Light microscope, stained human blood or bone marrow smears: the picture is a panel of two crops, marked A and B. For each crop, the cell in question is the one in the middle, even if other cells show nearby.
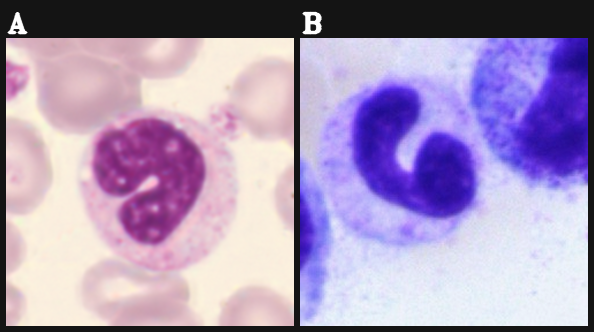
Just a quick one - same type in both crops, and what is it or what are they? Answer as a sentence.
Yes, band neutrophils are seen in both crops.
